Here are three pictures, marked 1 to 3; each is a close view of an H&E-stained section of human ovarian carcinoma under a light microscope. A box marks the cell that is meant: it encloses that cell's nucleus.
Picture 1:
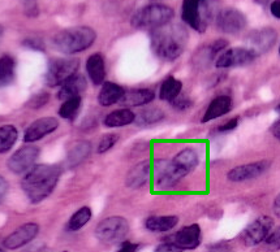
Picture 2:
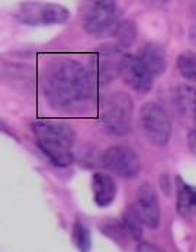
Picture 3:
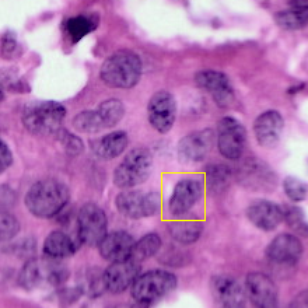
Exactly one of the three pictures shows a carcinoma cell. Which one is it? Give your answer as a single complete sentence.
Picture 2 is the one that shows the carcinoma cell.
